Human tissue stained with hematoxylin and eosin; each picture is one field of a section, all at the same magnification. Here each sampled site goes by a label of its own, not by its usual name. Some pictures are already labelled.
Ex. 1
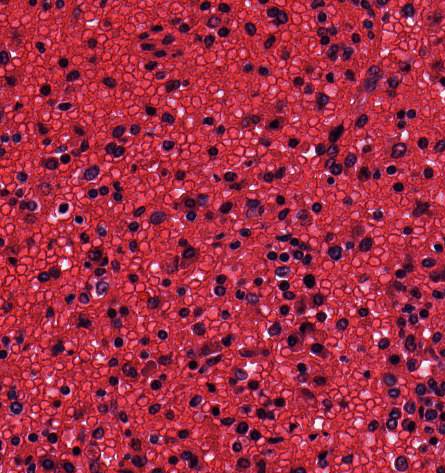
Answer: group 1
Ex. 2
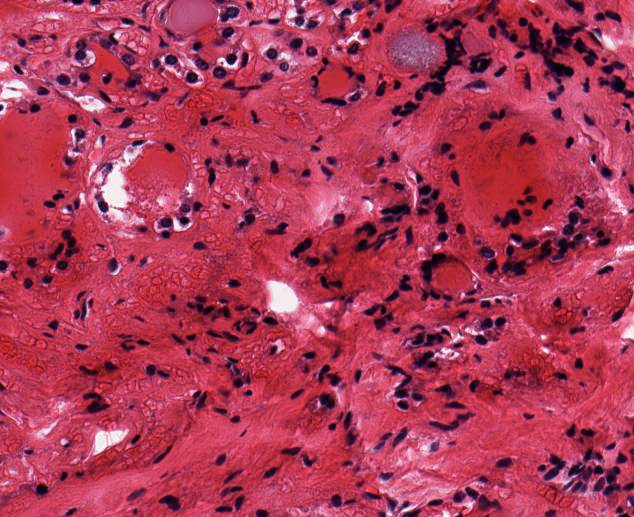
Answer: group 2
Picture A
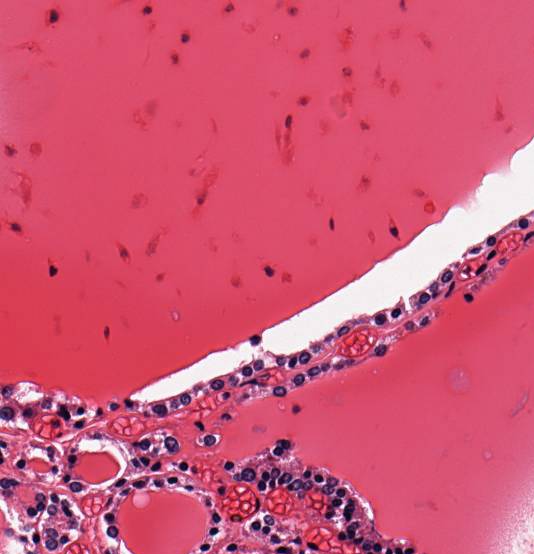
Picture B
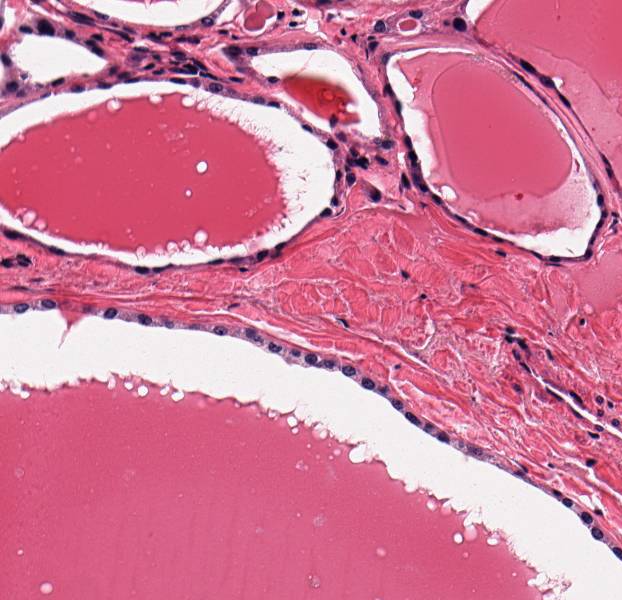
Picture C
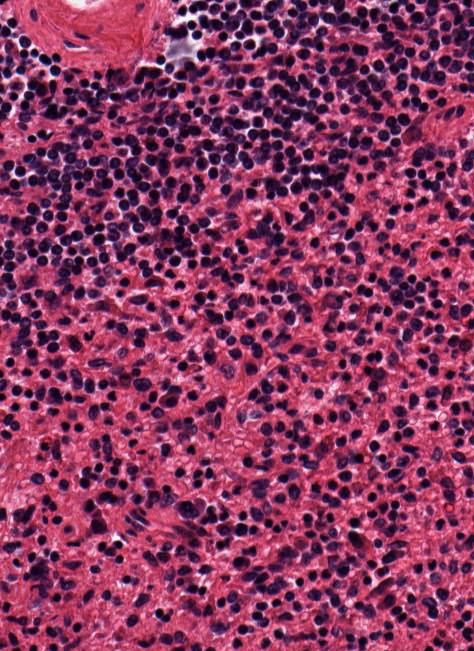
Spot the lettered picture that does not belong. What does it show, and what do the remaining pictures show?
Exception: C, showing group 1. Remaining pictures: group 2.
